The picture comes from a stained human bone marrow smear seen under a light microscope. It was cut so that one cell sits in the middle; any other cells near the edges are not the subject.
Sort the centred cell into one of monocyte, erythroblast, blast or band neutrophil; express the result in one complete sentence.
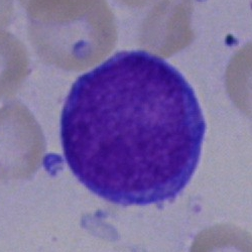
Here the centrally located cell is a blast.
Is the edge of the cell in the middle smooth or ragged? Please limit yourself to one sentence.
Smooth all around, the outline has no projections to report.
